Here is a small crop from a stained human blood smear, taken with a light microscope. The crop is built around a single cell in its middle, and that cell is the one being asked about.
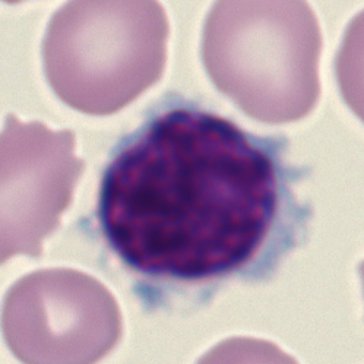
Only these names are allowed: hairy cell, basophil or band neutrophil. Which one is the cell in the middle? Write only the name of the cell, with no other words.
hairy cell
